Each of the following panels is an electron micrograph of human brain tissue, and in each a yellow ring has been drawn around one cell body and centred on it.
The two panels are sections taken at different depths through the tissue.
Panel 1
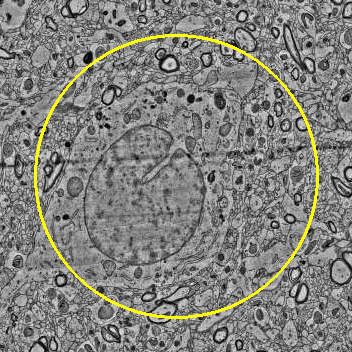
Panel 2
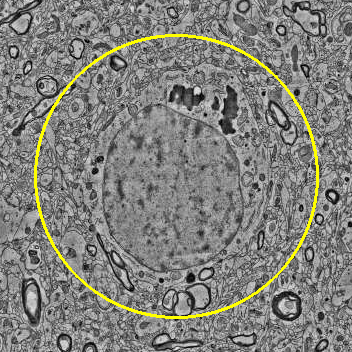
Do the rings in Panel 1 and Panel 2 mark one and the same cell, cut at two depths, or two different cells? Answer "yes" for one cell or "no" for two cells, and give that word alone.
no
